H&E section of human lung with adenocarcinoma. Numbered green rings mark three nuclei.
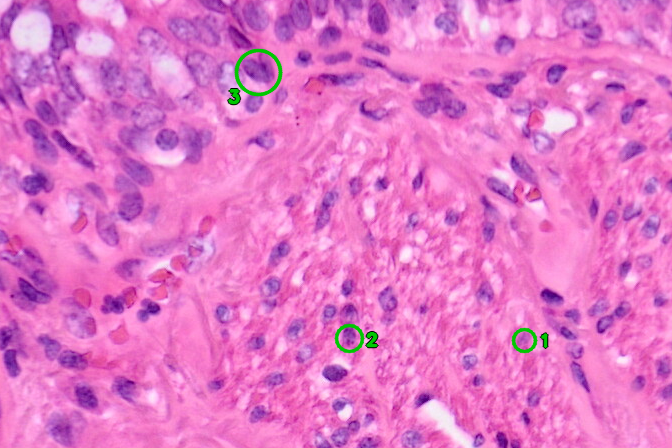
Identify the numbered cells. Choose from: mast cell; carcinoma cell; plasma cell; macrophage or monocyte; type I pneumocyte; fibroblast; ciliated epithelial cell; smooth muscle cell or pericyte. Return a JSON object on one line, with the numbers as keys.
{"1": "smooth muscle cell or pericyte", "2": "smooth muscle cell or pericyte", "3": "ciliated epithelial cell"}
